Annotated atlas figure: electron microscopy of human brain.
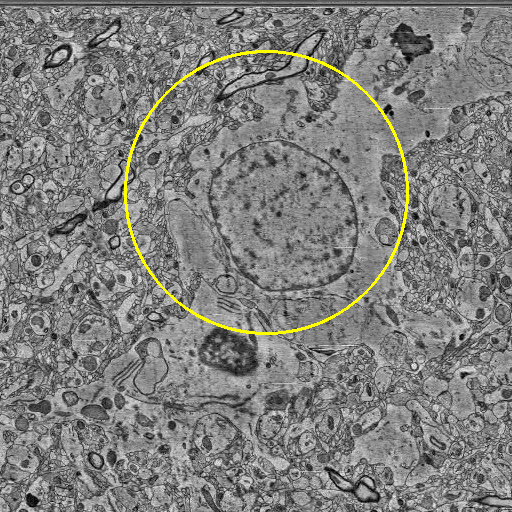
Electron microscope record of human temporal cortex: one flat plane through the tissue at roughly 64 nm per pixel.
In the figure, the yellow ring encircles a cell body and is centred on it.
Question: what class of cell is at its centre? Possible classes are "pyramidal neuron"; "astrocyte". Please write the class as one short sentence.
The yellow ring is drawn around an astrocyte.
